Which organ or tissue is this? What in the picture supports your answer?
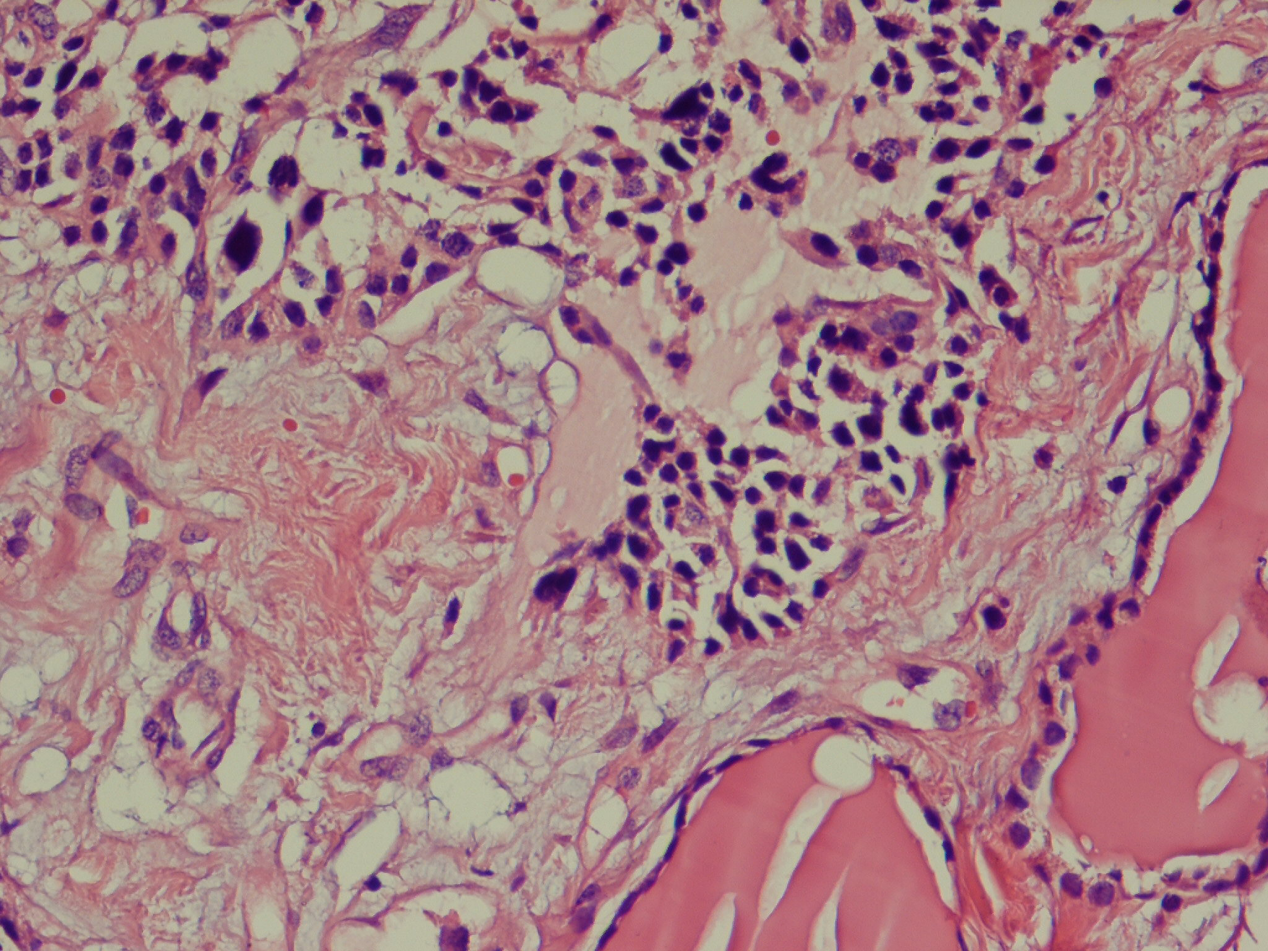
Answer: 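At lower right are spaces filled with homogeneous pink material. These spaces are lined by a single layer of flattened cells with dark nuclei. The pink material shows scalloped clear vacuoles at its edge.
Answer: normal thyroid follicles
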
